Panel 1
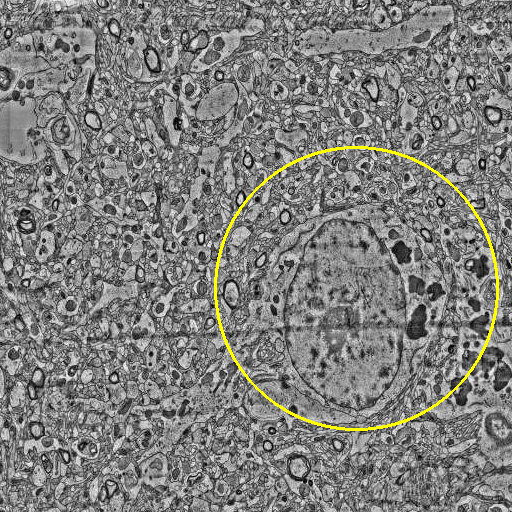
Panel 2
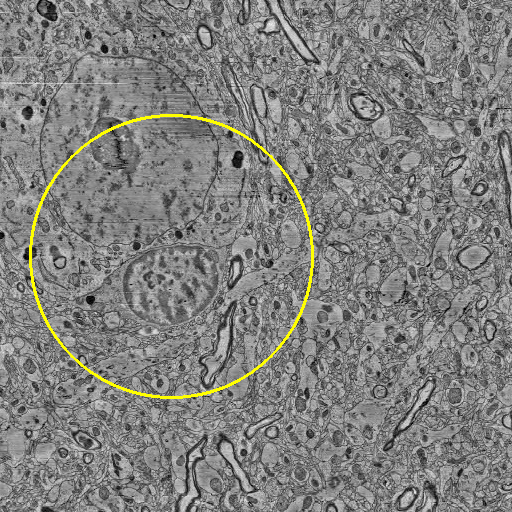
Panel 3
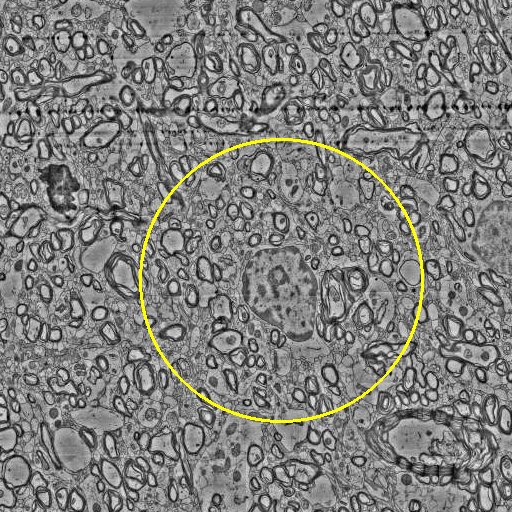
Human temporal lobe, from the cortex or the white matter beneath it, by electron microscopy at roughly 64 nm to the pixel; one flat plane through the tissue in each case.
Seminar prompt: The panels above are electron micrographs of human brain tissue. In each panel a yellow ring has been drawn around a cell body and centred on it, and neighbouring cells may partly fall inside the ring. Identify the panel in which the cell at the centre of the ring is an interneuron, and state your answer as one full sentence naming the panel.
Panel 1 has it at the centre of its ring.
